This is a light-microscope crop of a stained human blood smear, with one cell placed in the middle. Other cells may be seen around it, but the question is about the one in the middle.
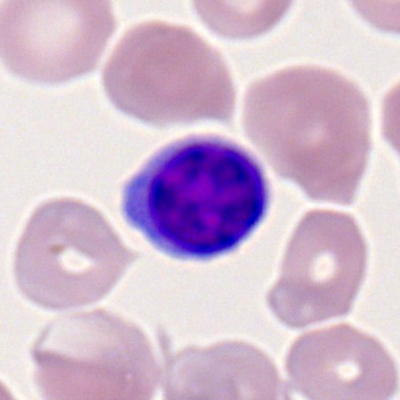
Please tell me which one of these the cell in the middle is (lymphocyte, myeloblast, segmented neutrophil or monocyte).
lymphocyte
